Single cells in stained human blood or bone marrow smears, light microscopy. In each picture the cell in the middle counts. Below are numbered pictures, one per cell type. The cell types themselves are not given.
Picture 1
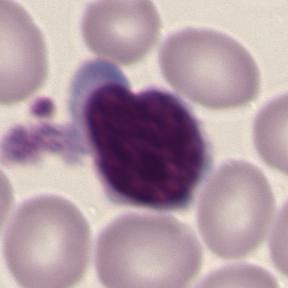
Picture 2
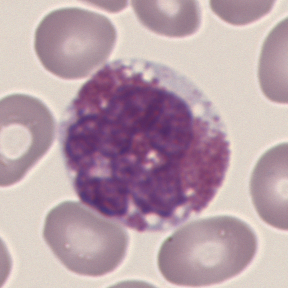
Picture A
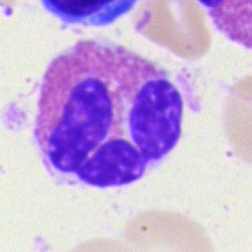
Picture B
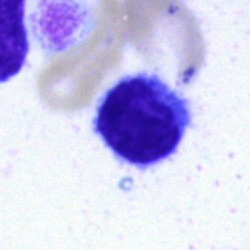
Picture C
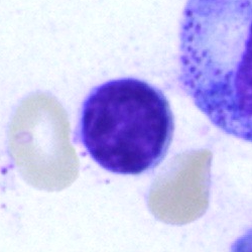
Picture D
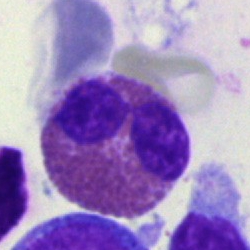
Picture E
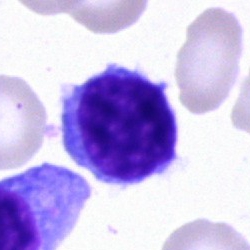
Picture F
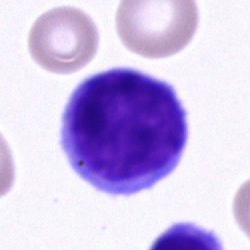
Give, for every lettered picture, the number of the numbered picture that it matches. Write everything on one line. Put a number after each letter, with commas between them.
A 2, B 1, C 1, D 2, E 1, F 1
